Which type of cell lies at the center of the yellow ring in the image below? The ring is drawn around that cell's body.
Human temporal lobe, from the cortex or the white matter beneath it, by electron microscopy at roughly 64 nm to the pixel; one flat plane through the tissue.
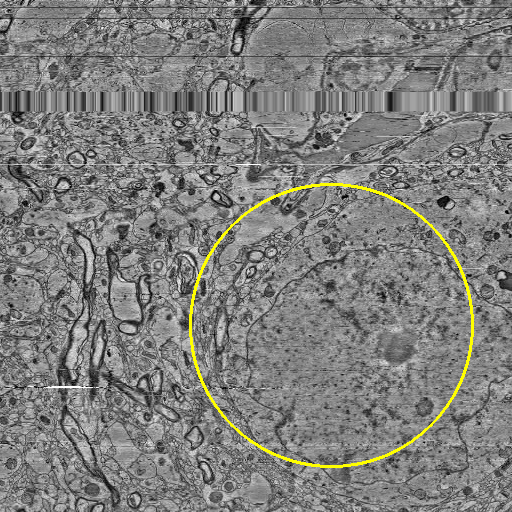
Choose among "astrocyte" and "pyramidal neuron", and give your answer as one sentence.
The cell body at the center belongs to a pyramidal neuron.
